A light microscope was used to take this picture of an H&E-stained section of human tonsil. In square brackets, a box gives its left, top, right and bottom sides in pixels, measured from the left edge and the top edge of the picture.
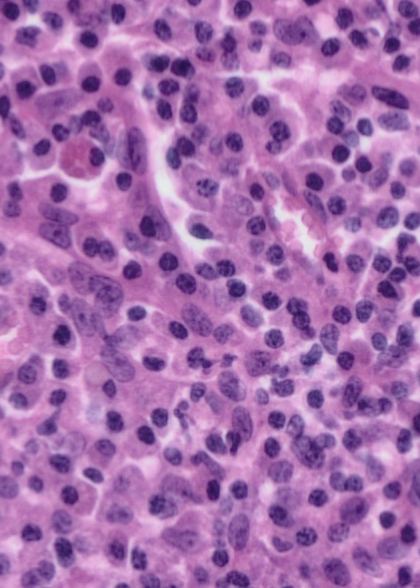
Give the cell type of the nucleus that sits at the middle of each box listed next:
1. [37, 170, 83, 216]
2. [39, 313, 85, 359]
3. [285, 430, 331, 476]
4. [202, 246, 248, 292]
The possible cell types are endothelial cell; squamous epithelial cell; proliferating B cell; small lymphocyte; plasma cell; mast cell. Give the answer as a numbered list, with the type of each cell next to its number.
1. plasma cell
2. plasma cell
3. squamous epithelial cell
4. plasma cell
